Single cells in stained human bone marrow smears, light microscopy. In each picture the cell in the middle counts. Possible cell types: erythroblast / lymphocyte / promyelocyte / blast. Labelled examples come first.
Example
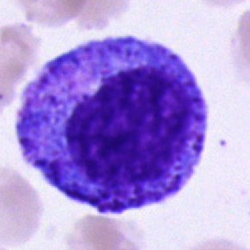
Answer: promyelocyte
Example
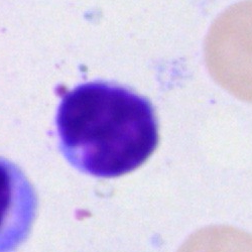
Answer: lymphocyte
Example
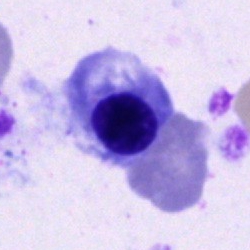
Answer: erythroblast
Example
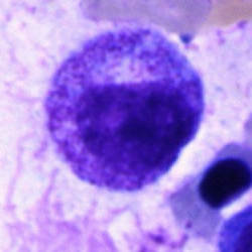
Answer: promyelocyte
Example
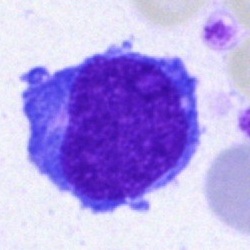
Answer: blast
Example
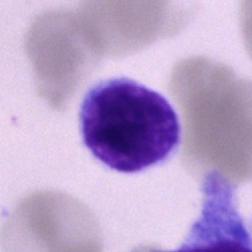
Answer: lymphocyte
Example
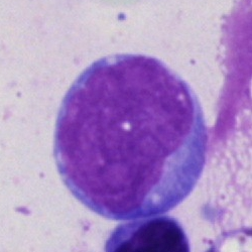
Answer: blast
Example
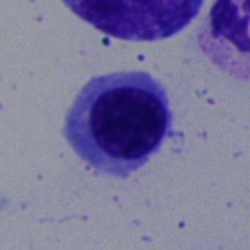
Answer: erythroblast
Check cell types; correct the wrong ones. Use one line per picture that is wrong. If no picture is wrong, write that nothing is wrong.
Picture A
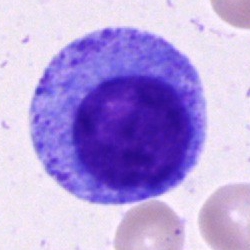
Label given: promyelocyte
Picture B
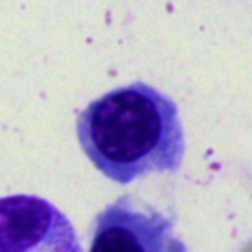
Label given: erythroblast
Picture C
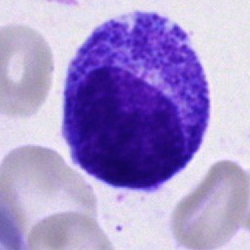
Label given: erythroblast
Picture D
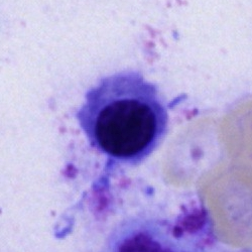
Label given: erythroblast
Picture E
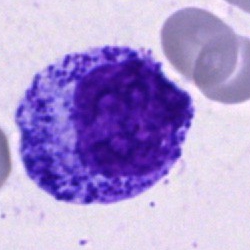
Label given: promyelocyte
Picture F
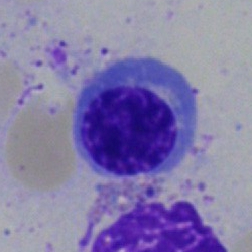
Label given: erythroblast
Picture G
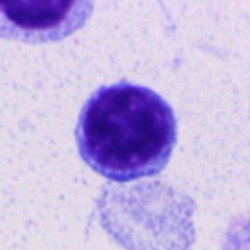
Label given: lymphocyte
C: promyelocyte, not erythroblast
